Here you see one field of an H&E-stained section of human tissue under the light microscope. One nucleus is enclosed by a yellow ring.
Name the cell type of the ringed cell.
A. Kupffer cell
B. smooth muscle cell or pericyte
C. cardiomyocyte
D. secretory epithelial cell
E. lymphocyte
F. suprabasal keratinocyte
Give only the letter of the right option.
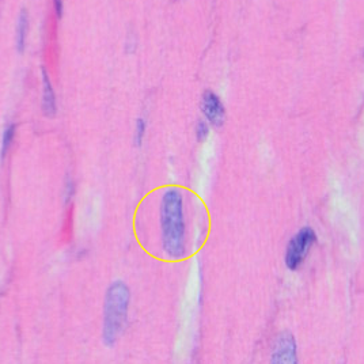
C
